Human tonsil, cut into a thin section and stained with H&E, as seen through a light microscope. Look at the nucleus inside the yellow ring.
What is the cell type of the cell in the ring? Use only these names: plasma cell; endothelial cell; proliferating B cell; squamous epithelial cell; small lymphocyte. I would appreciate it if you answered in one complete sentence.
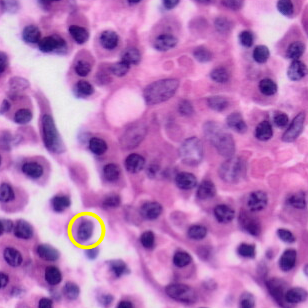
In the tissue under study, the cell in the ring is a plasma cell.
